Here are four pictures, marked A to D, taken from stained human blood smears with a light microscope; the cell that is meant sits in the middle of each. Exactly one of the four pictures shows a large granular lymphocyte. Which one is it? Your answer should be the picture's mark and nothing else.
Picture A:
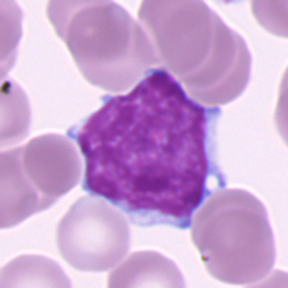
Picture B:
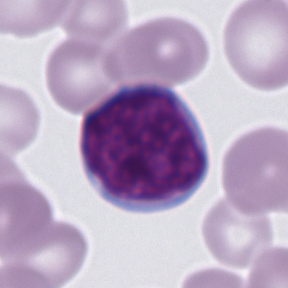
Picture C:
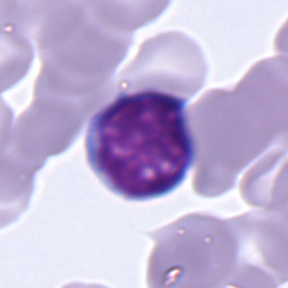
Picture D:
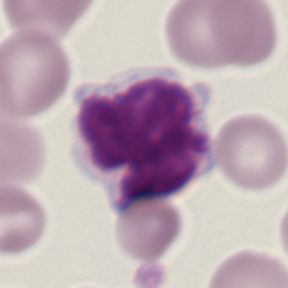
D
